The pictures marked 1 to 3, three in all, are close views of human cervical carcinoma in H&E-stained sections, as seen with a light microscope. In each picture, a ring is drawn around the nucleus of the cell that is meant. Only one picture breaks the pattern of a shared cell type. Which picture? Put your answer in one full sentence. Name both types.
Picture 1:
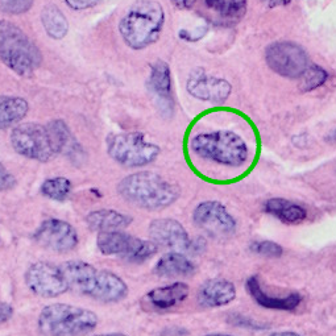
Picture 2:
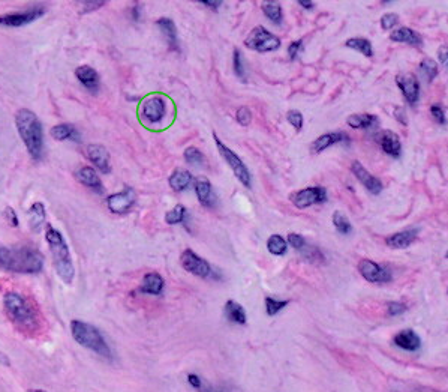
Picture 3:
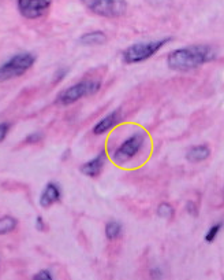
Picture 1 is the odd one out: it shows a squamous carcinoma cell, while the others show smooth muscle cells.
